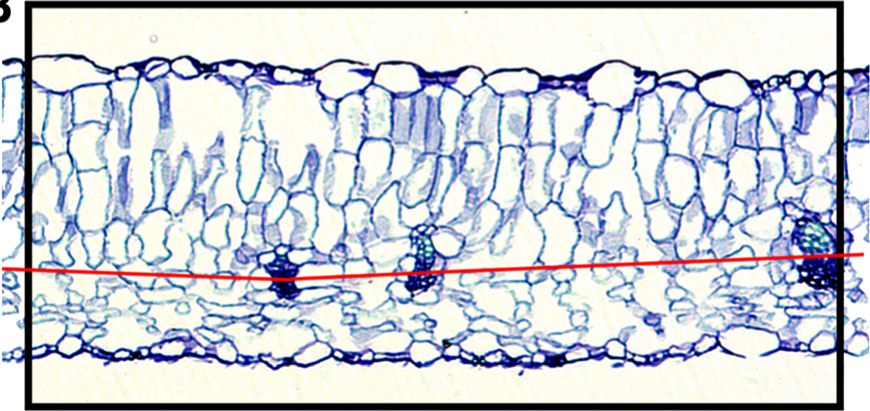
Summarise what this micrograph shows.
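This cross-section of a leaf shows the adaxial epidermis, palisade parenchyma, minor veins, spongy mesophyll and abaxial epidermis. The upper epidermis is a single row of flattened to rounded cells, some much larger than others. Beneath it, tall narrow palisade cells with thin blue walls stand upright in close columns and fill most of the leaf's thickness. Minor veins appear as compact clusters of small, darkly stained cells low in the mesophyll. Below them the spongy mesophyll is made of irregular, loosely packed cells separated by large air spaces. A thin lower epidermis of small cells closes the section.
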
